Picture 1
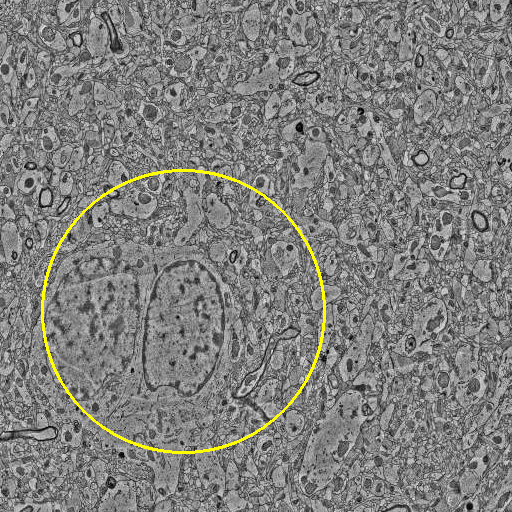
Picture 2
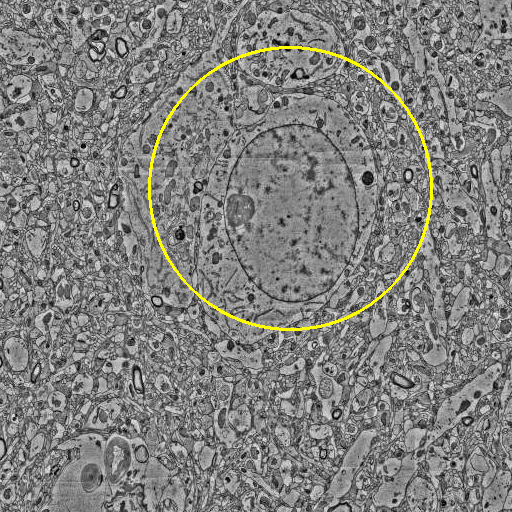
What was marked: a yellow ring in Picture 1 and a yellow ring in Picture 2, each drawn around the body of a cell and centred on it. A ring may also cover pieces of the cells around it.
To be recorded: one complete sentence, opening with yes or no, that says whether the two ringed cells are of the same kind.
No, the two ringed cells are of two kinds.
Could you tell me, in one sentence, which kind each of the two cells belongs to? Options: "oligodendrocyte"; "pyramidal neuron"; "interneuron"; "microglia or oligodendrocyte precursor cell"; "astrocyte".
At the centre of the first ring sits a microglial cell or oligodendrocyte precursor cell, and at the centre of the second sits a pyramidal neuron.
